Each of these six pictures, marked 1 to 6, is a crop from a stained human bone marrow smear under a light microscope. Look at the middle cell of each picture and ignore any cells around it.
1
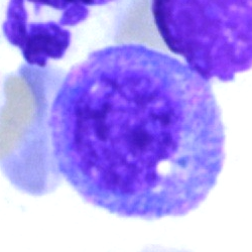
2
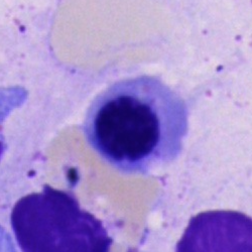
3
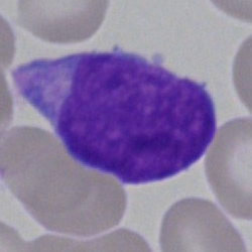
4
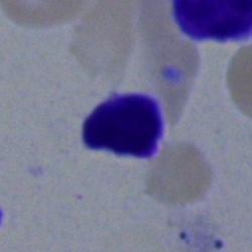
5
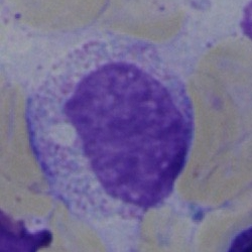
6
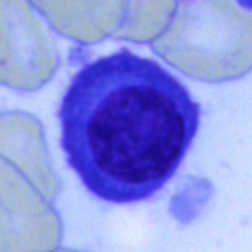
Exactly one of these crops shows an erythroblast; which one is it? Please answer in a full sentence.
In this series, an erythroblast is shown by crop 2.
